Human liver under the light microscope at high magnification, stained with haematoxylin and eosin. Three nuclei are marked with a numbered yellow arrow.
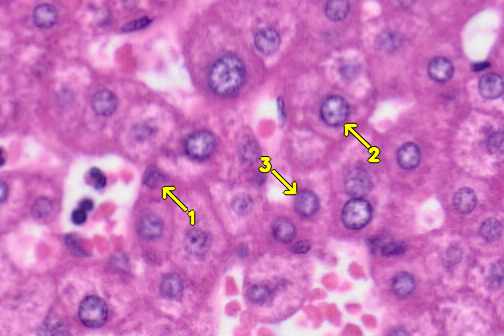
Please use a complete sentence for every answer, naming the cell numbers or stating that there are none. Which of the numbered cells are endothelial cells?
Among the numbered cells, the one that is an endothelial cell is cell 1 alone.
